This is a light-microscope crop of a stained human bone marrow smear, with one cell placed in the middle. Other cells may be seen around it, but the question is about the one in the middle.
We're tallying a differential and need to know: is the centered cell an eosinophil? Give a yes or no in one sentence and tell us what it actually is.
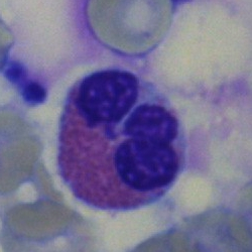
Yes, the cell shown centrally is an eosinophil.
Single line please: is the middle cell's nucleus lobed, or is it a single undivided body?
The nuclear outline breaks up into two or more lobes.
